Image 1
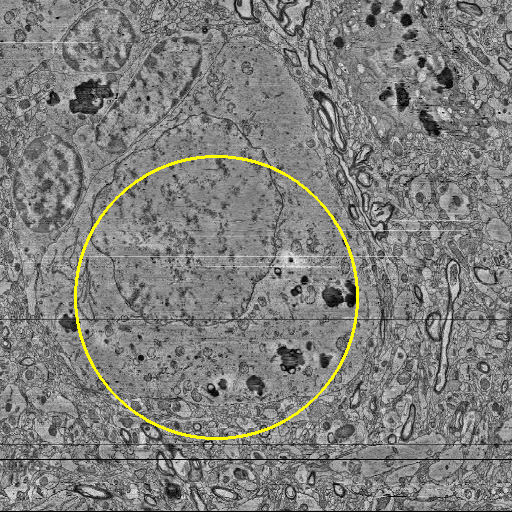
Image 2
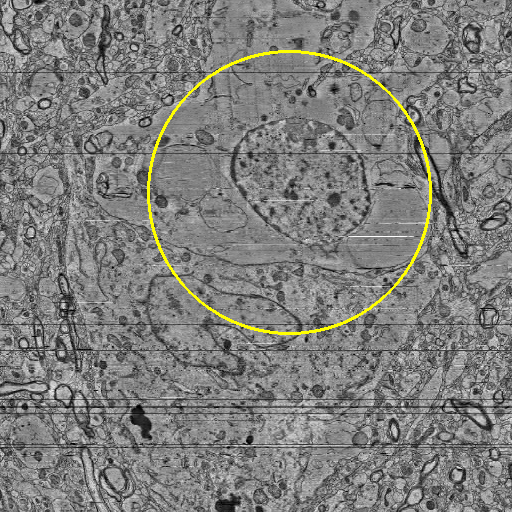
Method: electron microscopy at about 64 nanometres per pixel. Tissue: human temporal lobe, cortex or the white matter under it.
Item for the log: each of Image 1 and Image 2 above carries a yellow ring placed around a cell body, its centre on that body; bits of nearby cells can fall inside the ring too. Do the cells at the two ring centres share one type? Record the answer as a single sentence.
No, the two cells at the ring centres in Image 1 and Image 2 are of two types.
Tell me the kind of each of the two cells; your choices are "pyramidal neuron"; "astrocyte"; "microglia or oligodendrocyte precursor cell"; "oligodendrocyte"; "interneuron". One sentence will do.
The ringed cell is a pyramidal neuron in the first picture and an astrocyte in the second picture.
